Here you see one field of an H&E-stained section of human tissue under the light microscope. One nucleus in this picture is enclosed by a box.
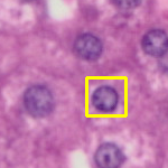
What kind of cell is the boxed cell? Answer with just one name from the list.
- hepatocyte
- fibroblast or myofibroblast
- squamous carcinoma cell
hepatocyte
